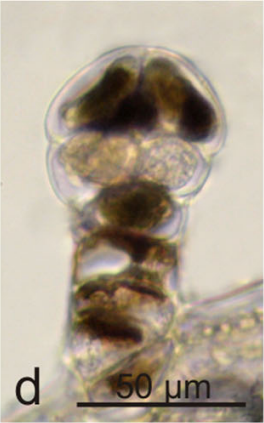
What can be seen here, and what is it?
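Glandular trichome with a club-shaped head of several cells on a stalk of stacked cells, the whole enclosed by a clear outer wall. The uppermost head cells and several stalk cells hold dark brown contents, while a middle tier of head cells is pale and granular.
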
